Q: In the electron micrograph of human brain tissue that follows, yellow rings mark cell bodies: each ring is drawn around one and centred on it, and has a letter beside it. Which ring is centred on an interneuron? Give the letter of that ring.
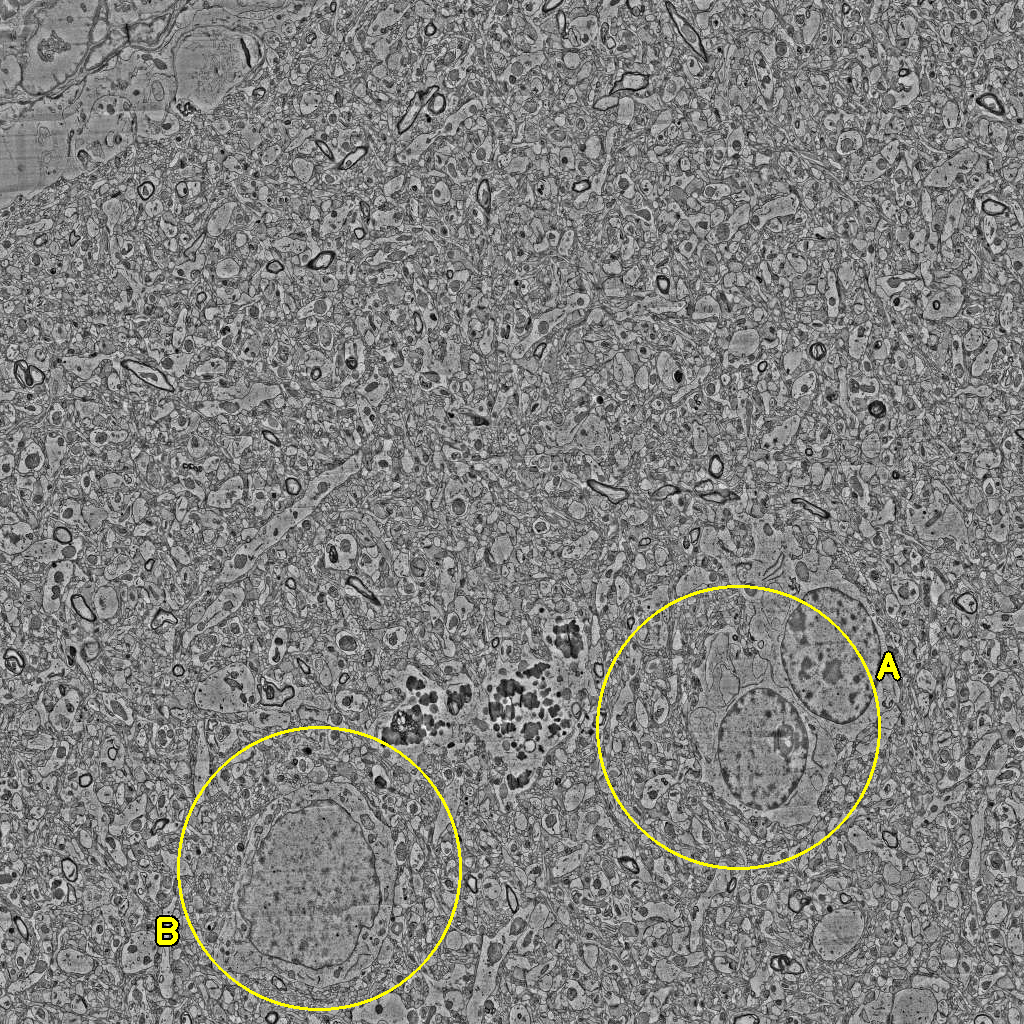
B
